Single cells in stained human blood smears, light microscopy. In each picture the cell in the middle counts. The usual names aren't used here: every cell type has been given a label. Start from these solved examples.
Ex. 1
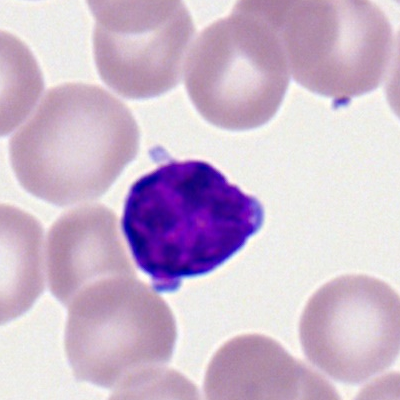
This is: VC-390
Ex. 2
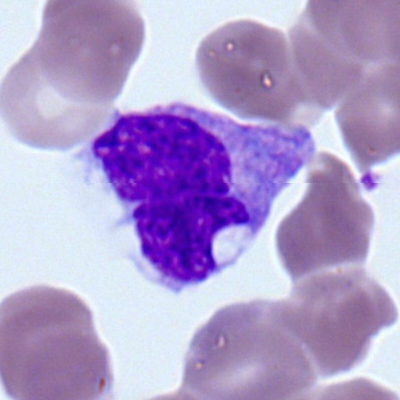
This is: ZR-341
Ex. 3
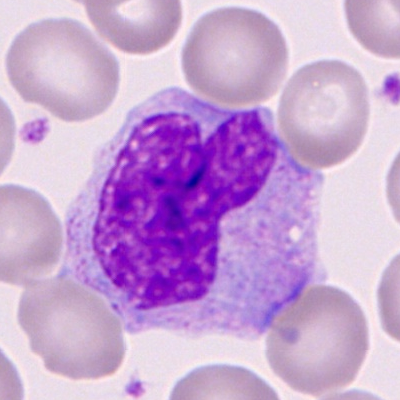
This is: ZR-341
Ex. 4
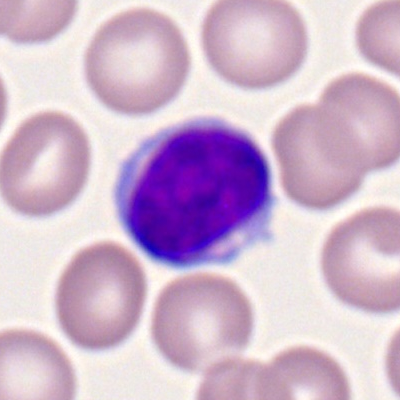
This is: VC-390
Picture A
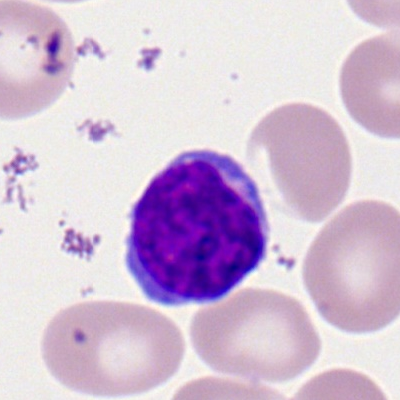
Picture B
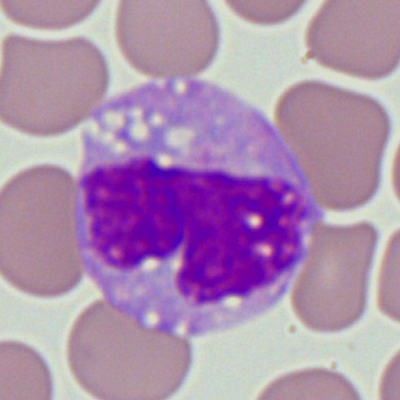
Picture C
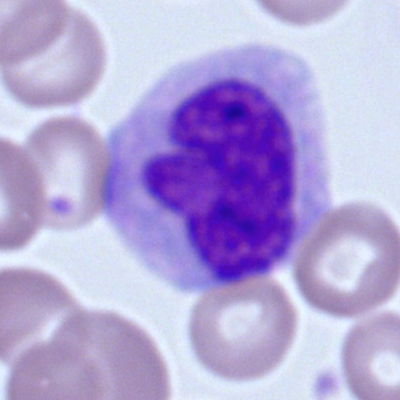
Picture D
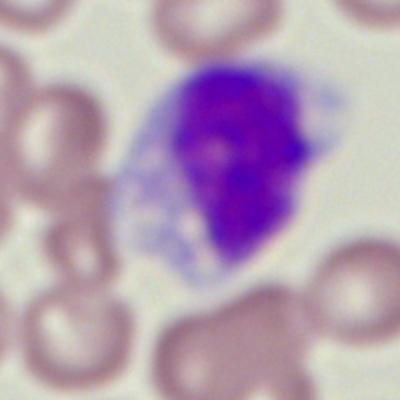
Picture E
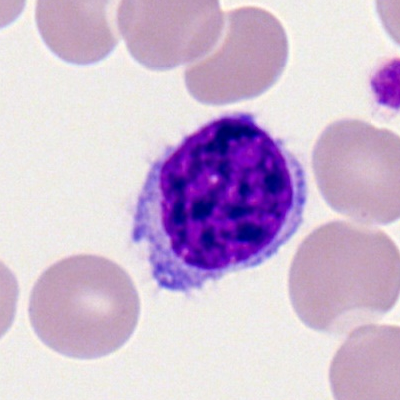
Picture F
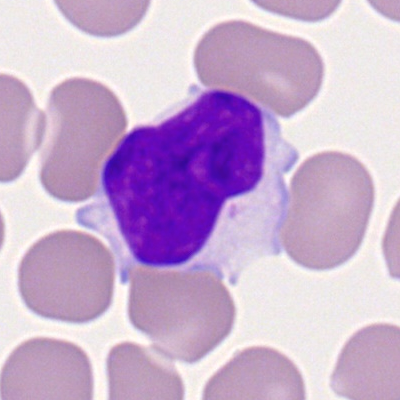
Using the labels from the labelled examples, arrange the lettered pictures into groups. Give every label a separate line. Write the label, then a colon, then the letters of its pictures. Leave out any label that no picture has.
VC-390: A, E, F
ZR-341: B, C, D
